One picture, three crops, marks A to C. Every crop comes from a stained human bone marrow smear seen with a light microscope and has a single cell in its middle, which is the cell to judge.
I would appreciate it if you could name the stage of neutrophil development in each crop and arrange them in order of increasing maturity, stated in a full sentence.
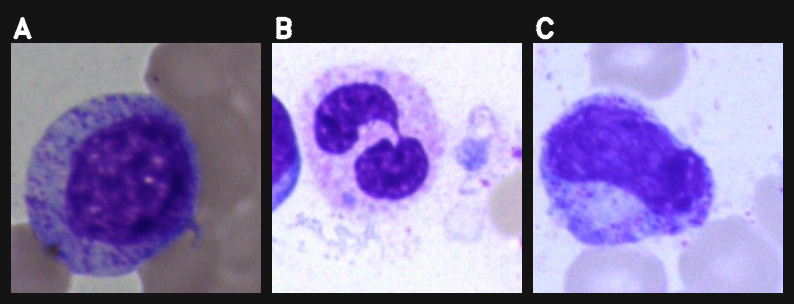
In order of rising maturity, the sequence is crop A (a myelocyte), crop C (a metamyelocyte) and crop B (a segmented neutrophil).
